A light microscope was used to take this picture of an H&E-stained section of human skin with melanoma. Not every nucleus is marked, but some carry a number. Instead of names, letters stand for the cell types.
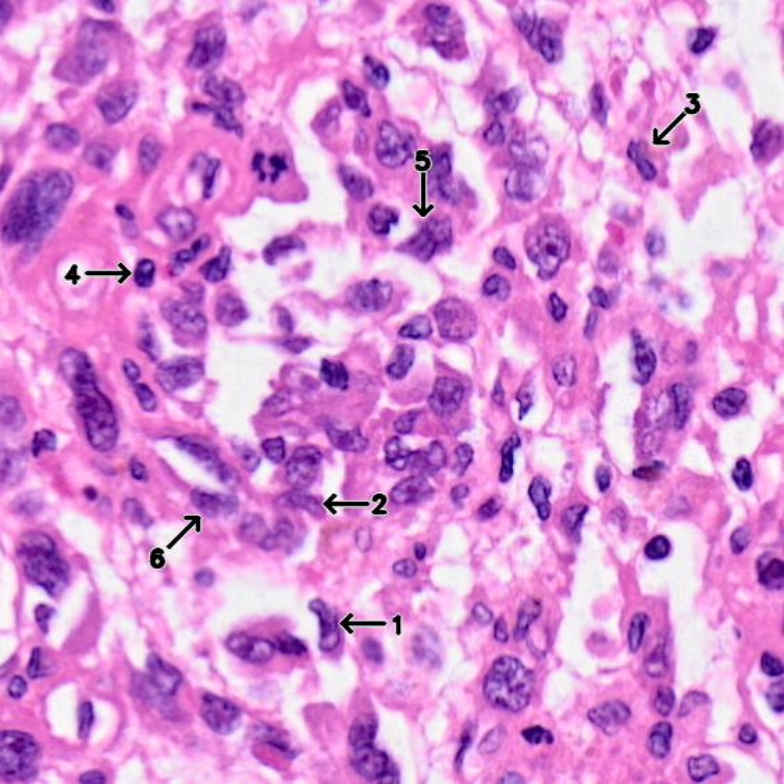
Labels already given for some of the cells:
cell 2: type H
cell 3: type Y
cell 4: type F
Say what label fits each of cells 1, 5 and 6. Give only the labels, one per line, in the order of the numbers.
type H
type H
type H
